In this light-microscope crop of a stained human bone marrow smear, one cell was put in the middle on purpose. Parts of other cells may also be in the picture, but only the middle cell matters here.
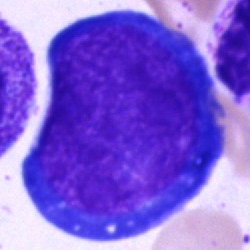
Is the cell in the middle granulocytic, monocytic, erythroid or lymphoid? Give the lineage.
erythroid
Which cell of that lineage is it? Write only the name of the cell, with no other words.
proerythroblast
